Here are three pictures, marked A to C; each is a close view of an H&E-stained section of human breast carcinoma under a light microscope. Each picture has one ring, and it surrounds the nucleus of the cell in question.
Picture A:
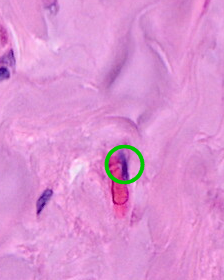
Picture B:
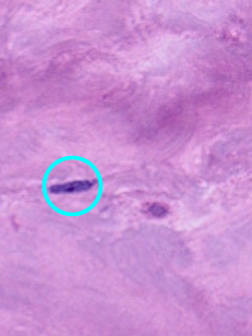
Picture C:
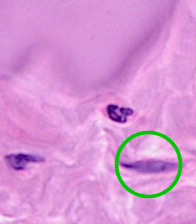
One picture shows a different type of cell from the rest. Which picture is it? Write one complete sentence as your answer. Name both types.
Picture A differs, because its cell is an endothelial cell and the rest are fibroblasts.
